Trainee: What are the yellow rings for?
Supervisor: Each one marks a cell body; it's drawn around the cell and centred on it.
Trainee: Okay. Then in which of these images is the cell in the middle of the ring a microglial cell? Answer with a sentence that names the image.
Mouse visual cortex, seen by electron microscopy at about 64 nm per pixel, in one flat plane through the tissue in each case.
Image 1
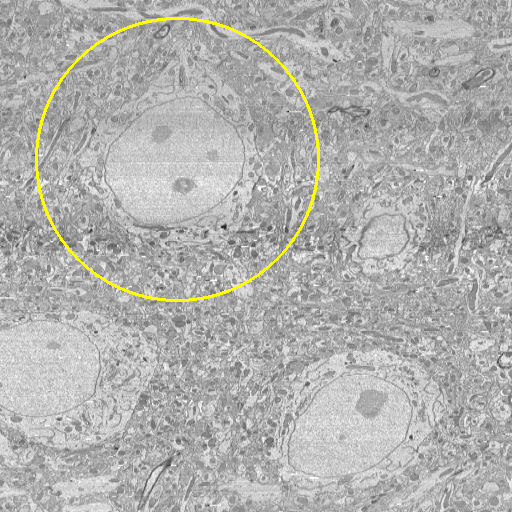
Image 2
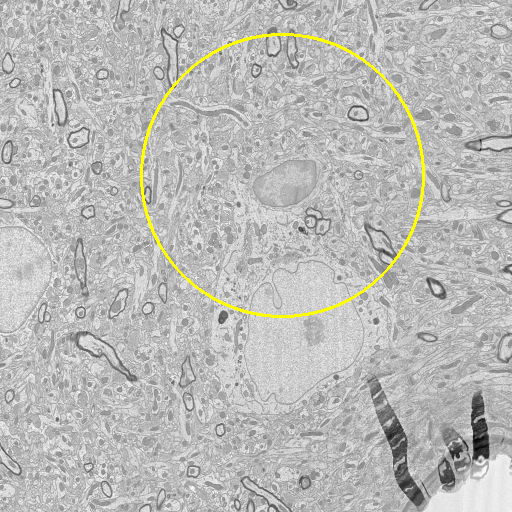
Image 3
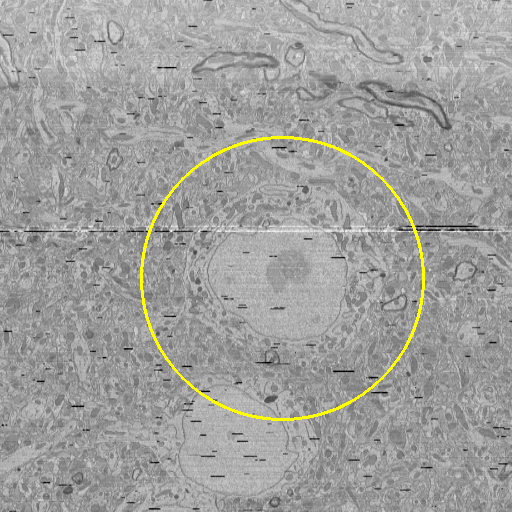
Image 2 has it in the middle of the ring.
